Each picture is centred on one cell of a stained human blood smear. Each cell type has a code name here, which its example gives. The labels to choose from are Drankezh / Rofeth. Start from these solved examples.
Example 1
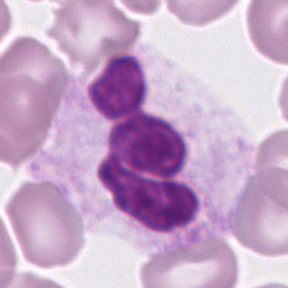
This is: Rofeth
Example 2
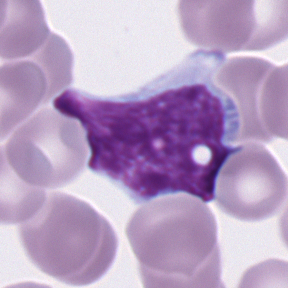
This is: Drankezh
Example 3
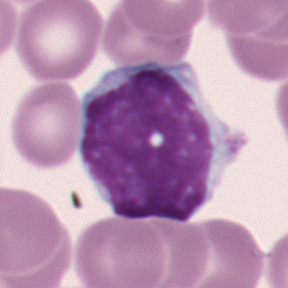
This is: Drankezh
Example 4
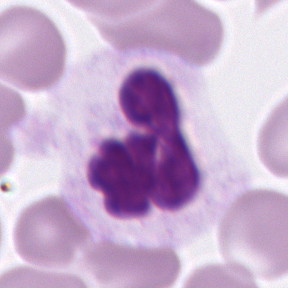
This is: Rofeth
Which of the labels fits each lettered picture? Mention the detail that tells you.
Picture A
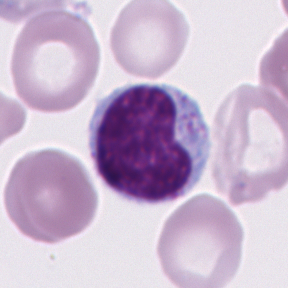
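Drankezh: The nucleus is kidney-shaped with a notch on its right side.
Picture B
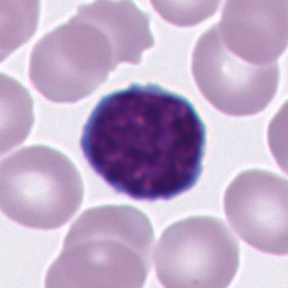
Drankezh: The thin rim of cytoplasm is blue.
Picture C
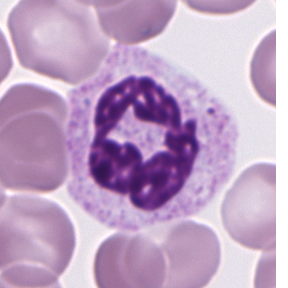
Rofeth: A broad rim of pale pinkish-lilac cytoplasm surrounds the nucleus.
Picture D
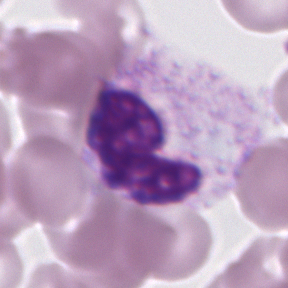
Rofeth: The cytoplasm is plentiful and very pale pinkish-lavender.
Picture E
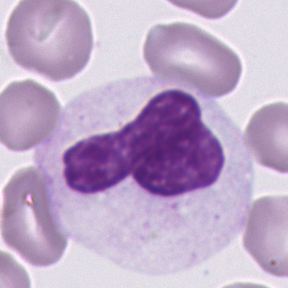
Rofeth: The cytoplasm is abundant and forms a wide zone around the nucleus.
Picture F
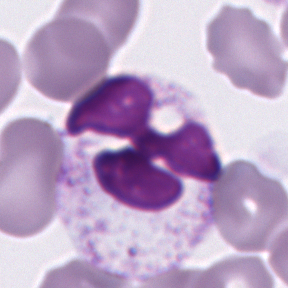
Rofeth: The nucleus is divided into three distinct lobes.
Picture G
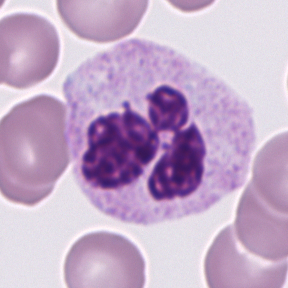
Rofeth: The cytoplasm is abundant and pale pinkish-lilac.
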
